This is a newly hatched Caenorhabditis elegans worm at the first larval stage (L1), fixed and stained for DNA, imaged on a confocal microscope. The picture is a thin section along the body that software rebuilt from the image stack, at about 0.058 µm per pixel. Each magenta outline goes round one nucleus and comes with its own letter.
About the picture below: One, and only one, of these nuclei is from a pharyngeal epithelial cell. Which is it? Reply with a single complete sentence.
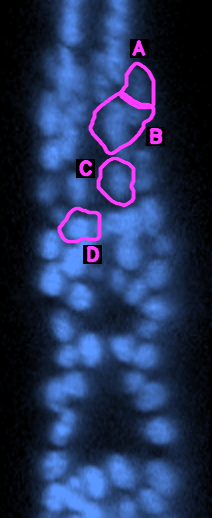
The one from a pharyngeal epithelial cell is B.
